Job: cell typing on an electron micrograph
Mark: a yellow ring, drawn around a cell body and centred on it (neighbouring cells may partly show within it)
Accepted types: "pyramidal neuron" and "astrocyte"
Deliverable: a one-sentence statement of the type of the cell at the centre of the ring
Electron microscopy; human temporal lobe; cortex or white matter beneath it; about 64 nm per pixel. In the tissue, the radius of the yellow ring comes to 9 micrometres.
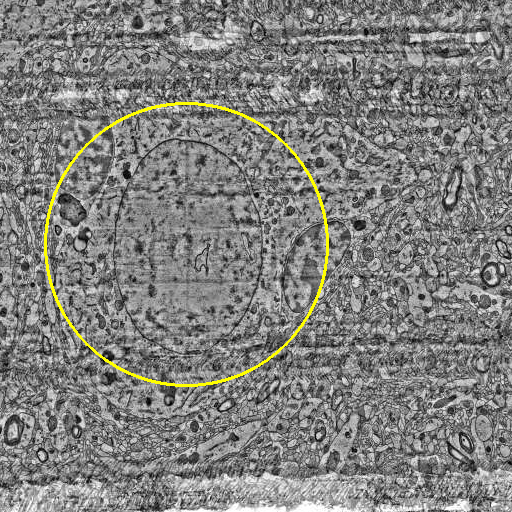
The centred cell body is that of a pyramidal neuron.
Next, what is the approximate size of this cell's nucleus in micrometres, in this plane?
In this plane, the nucleus of the cell at the centre of the ring measures about 14 by 10 micrometres.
